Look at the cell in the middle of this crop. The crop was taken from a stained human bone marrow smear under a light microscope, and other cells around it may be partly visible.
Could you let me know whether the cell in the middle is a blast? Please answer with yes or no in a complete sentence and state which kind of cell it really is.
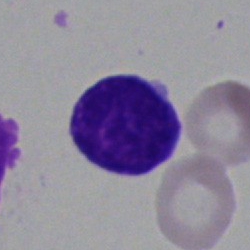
Yes, the cell of interest in the middle is a blast.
